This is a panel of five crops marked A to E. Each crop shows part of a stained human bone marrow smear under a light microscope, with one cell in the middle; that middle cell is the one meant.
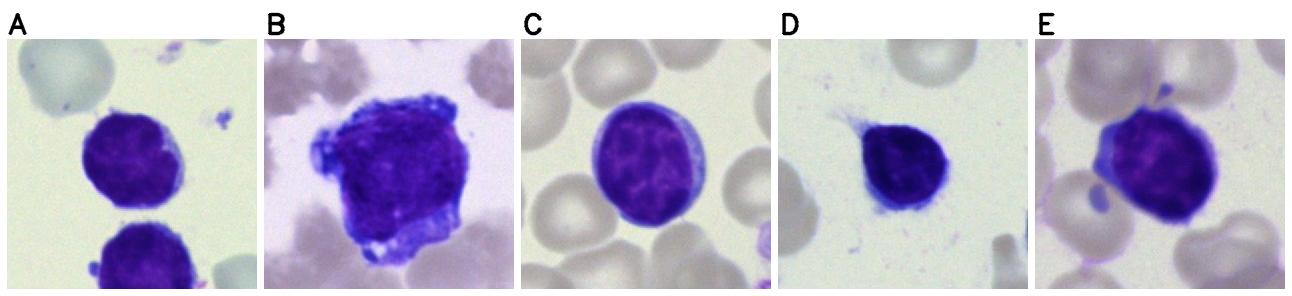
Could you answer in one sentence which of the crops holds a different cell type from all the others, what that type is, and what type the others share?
A different cell type, a blast, occupies crop B; the other crops show lymphocytes.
